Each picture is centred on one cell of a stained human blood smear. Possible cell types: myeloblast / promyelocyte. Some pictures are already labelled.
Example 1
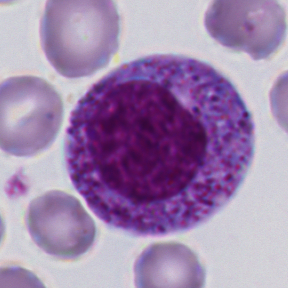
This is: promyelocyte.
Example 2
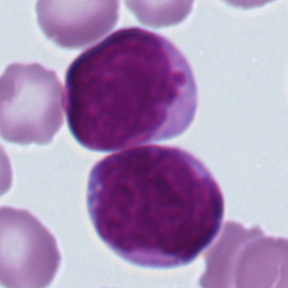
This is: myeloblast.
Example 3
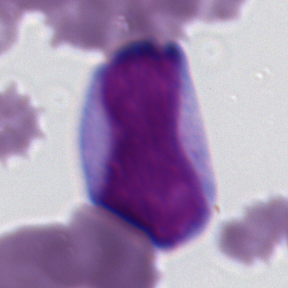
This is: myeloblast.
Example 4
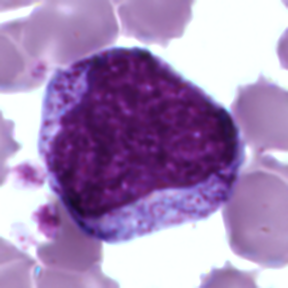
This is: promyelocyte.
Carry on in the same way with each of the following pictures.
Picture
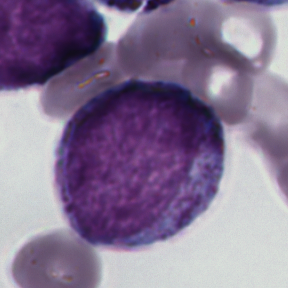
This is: promyelocyte.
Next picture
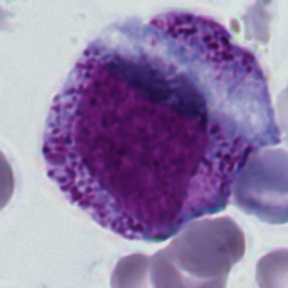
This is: promyelocyte.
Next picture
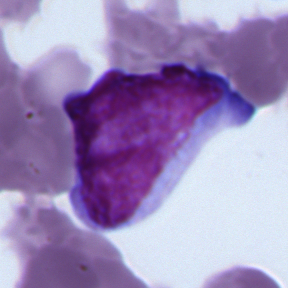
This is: myeloblast.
